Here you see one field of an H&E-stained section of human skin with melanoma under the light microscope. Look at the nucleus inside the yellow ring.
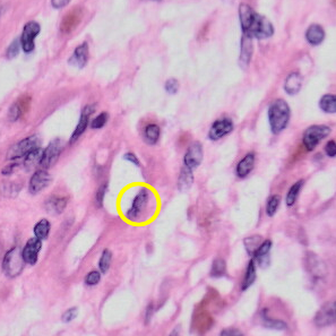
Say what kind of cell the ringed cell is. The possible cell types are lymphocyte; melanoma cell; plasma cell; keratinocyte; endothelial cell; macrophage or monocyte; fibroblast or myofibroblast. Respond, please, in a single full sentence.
Labelled by cell type, the ringed cell is an endothelial cell.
